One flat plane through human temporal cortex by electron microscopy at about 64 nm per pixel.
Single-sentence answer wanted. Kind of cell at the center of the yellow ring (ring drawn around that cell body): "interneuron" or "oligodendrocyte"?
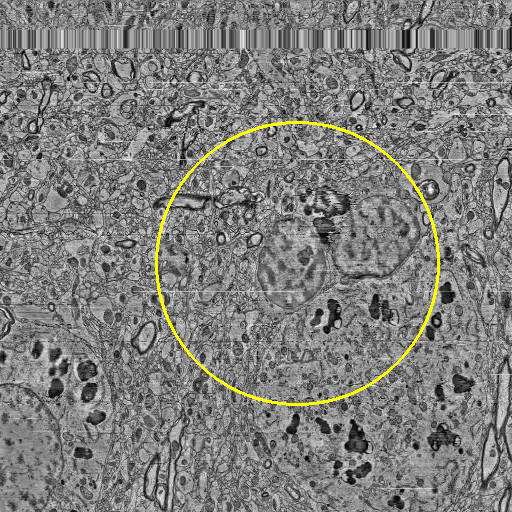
The cell centered in the ring is an oligodendrocyte.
